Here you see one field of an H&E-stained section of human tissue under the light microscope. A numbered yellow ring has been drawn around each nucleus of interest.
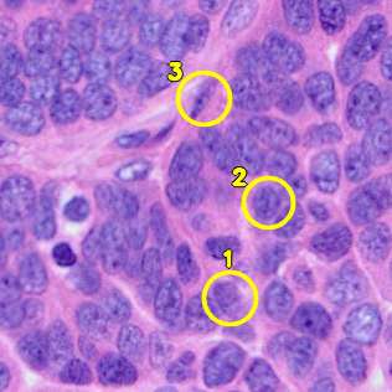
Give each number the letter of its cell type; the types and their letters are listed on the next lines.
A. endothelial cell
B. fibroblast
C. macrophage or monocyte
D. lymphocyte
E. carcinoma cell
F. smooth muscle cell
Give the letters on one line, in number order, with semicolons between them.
E; E; B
